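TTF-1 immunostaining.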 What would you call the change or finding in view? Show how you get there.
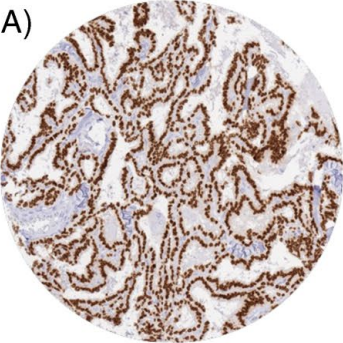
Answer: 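Papillary. Branching fronds with thin fibrovascular cores. Fronds are lined by a single layer of cells with brown nuclei. Open spaces between the fronds.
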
